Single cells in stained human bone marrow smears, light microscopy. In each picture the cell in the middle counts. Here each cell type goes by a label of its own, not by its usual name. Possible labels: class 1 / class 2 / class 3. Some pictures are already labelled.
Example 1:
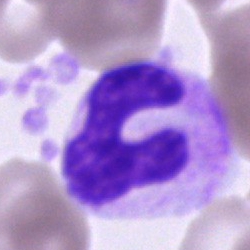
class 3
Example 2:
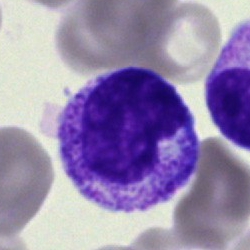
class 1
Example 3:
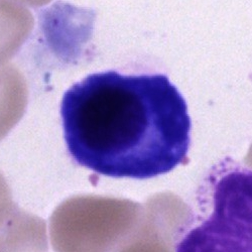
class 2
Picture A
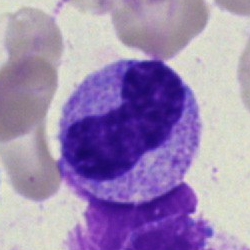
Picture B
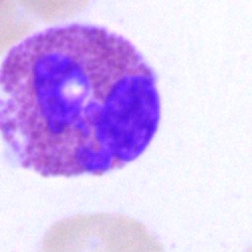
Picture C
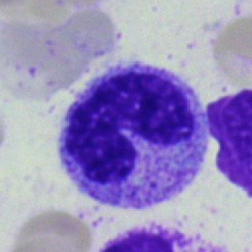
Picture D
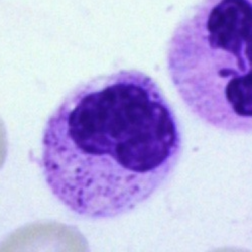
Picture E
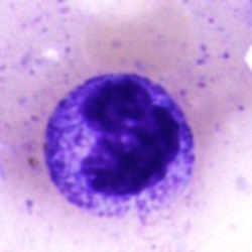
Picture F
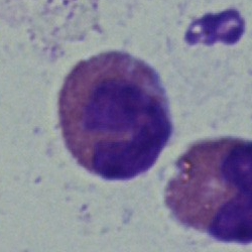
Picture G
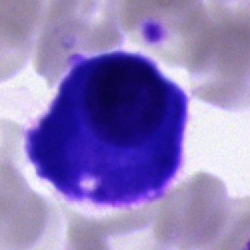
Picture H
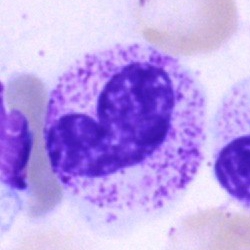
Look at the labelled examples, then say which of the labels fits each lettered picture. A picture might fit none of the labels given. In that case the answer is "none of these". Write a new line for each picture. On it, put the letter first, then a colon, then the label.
A: class 3
B: none of these
C: class 3
D: class 1
E: class 1
F: none of these
G: class 2
H: class 1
